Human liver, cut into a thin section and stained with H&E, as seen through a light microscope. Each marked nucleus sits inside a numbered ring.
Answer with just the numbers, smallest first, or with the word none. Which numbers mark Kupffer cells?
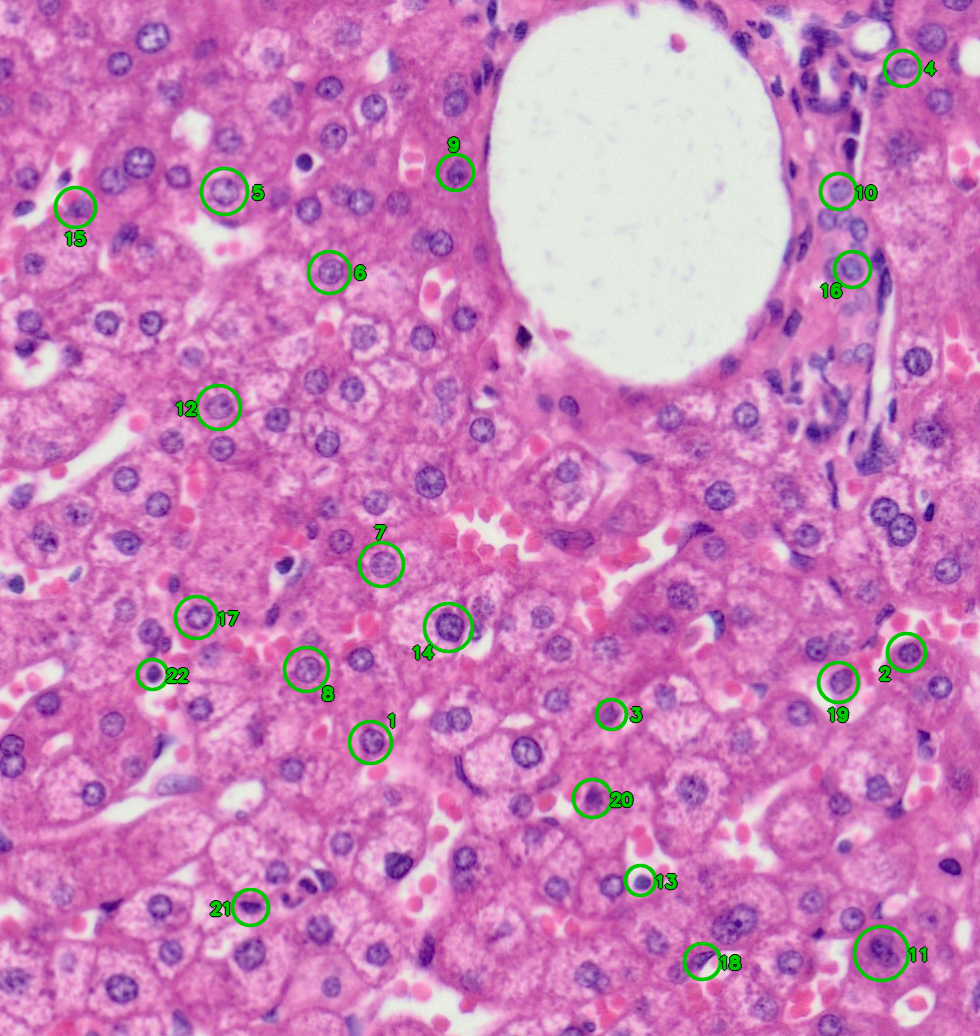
3, 19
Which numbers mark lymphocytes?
13, 22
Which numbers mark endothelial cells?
15, 18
